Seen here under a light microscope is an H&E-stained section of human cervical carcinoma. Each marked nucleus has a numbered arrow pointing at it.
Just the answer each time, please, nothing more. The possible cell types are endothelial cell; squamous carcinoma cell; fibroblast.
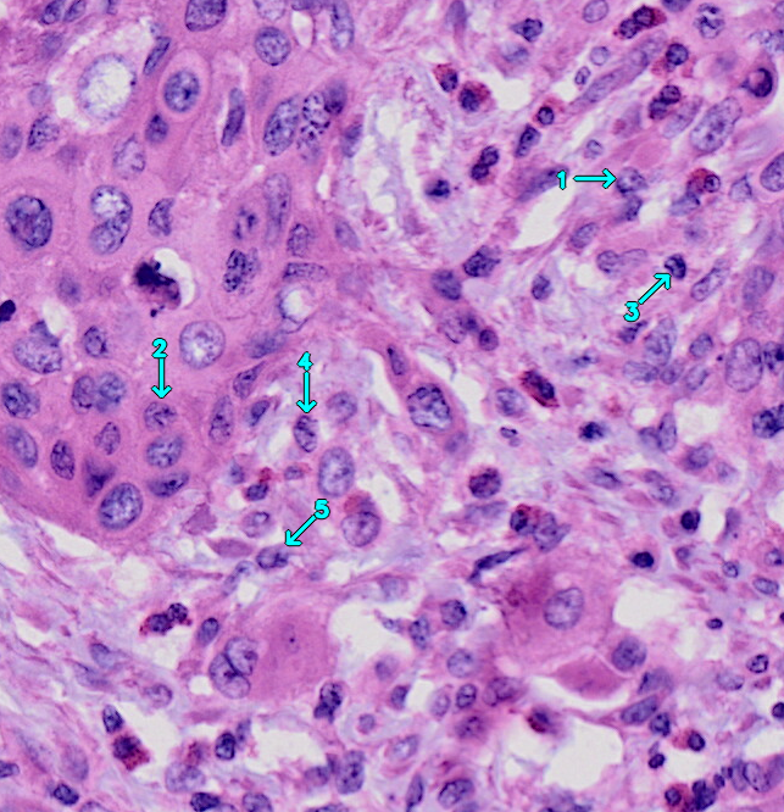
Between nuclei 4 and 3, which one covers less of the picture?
3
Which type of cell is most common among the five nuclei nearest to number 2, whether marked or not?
squamous carcinoma cell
